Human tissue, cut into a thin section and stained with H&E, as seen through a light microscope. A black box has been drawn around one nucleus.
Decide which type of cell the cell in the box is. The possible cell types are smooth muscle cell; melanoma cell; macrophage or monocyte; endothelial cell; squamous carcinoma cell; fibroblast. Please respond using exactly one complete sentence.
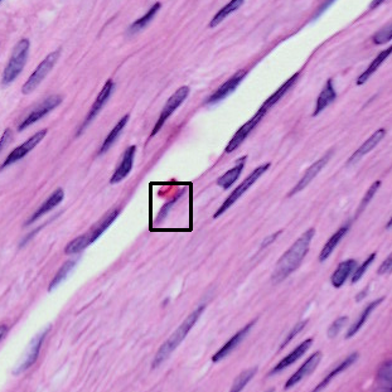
On this particular slide, the cell in the box is an endothelial cell.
